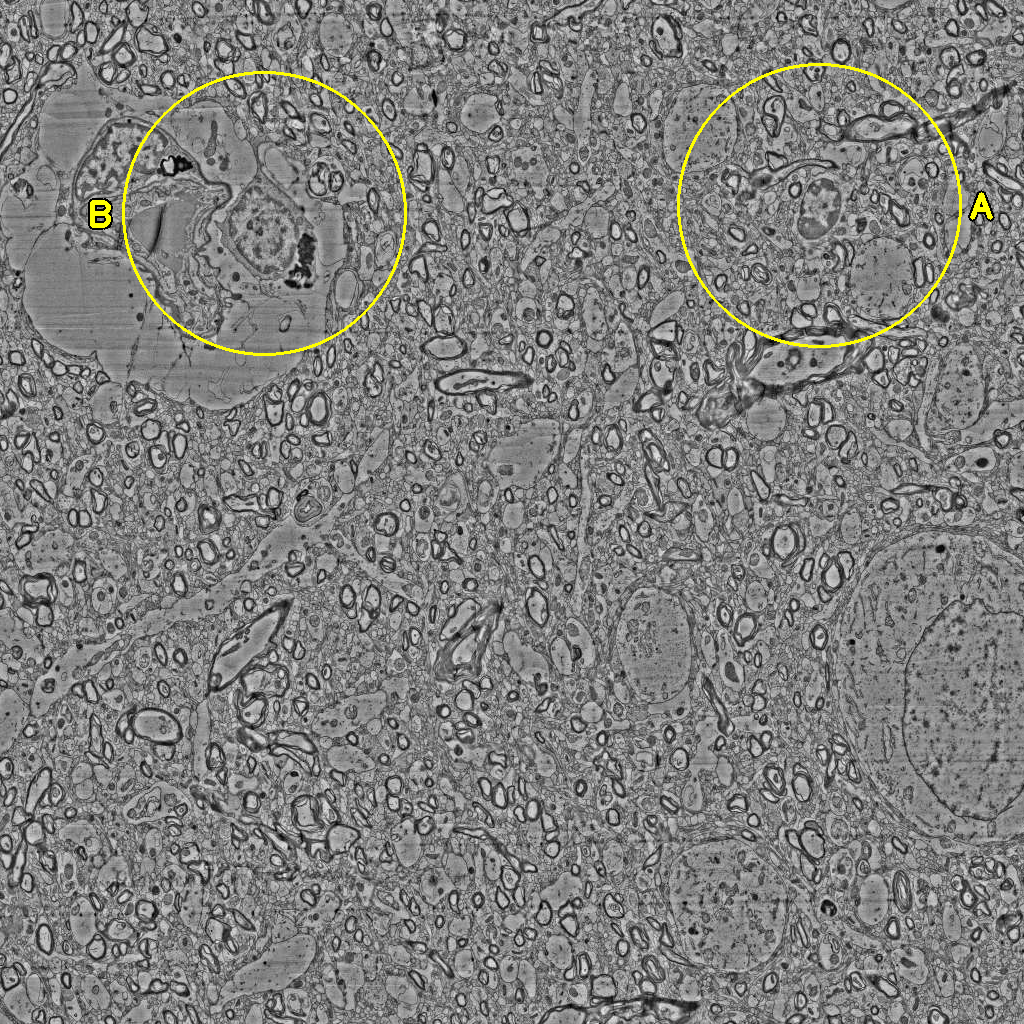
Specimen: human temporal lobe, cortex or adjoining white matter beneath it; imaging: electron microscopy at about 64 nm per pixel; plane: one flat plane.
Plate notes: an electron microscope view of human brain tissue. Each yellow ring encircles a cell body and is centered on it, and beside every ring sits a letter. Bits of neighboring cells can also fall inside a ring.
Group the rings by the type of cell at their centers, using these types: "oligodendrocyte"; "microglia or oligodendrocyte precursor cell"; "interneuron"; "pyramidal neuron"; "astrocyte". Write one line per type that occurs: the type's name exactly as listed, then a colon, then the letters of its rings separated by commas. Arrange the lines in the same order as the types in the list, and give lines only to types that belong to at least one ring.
oligodendrocyte: B
microglia or oligodendrocyte precursor cell: A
